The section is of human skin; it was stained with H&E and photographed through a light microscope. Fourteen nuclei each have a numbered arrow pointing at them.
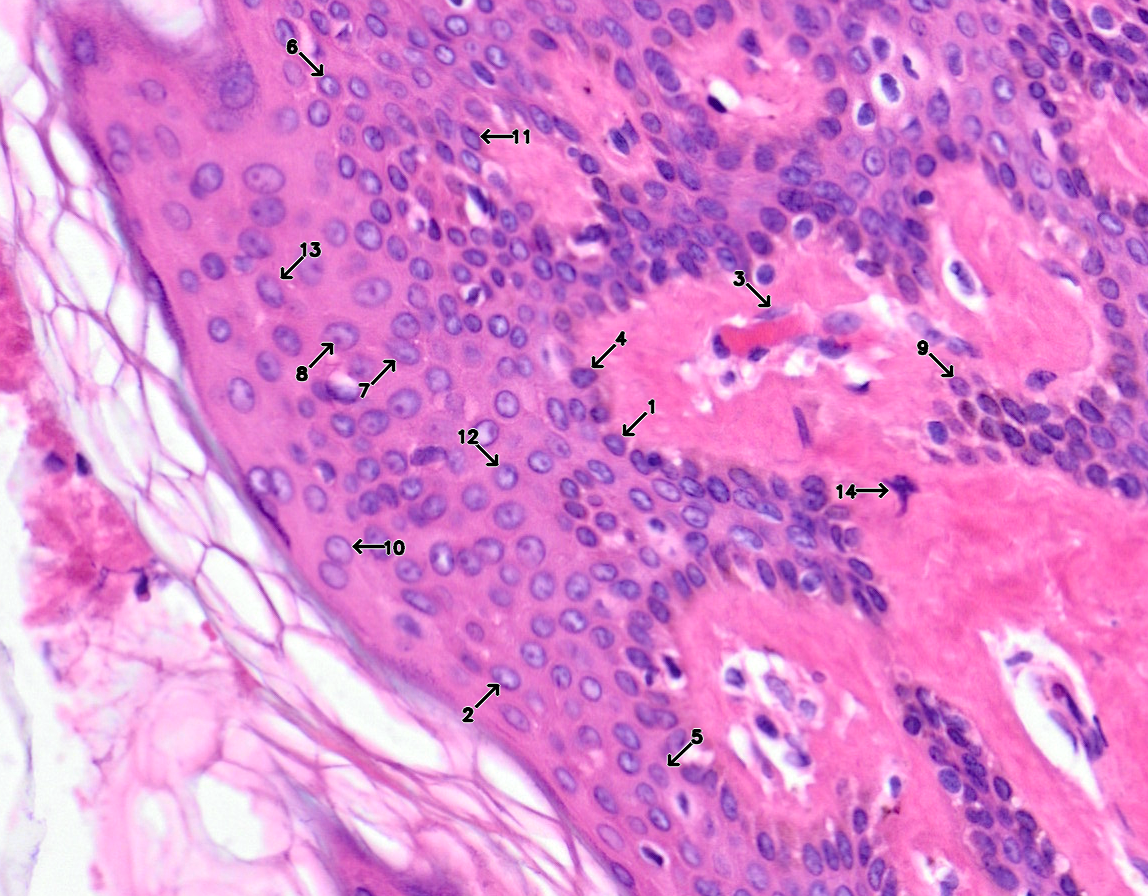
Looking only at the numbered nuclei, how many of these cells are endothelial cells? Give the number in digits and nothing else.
1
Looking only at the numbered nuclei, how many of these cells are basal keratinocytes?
4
